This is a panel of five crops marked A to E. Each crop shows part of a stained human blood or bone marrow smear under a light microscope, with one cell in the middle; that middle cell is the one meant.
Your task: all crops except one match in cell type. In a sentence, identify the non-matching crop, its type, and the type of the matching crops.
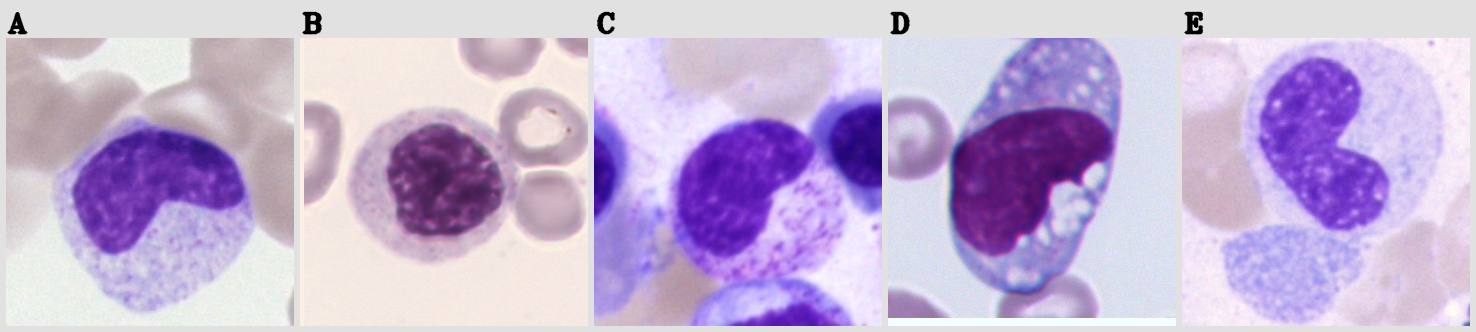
The crops all show metamyelocytes, with the exception of crop D, which shows a monocyte.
